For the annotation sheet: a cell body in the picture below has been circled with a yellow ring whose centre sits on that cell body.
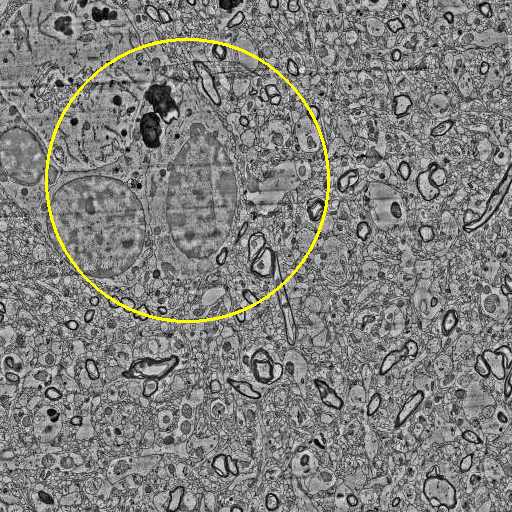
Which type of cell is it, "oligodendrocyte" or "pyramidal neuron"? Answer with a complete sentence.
The circled cell is an oligodendrocyte.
